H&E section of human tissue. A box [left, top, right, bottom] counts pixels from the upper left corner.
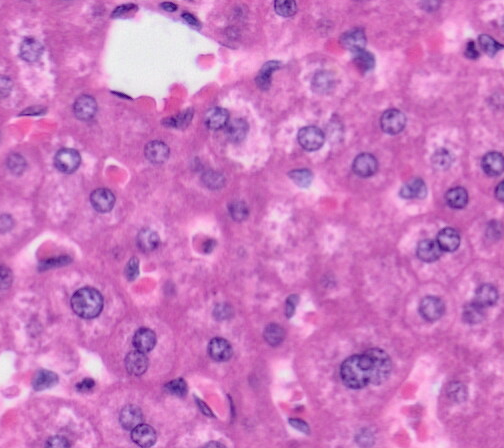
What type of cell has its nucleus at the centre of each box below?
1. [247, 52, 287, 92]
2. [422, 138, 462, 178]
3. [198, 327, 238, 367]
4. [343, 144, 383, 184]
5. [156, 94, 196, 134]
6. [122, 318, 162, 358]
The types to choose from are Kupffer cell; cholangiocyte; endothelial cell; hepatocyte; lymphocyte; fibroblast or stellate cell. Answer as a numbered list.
1. fibroblast or stellate cell
2. hepatocyte
3. hepatocyte
4. hepatocyte
5. fibroblast or stellate cell
6. hepatocyte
